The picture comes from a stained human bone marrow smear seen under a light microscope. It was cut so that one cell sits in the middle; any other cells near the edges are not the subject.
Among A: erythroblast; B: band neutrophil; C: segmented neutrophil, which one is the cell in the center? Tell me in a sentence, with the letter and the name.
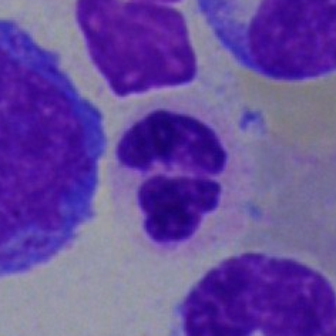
Option C gets it right: the cell in the middle is a segmented neutrophil.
